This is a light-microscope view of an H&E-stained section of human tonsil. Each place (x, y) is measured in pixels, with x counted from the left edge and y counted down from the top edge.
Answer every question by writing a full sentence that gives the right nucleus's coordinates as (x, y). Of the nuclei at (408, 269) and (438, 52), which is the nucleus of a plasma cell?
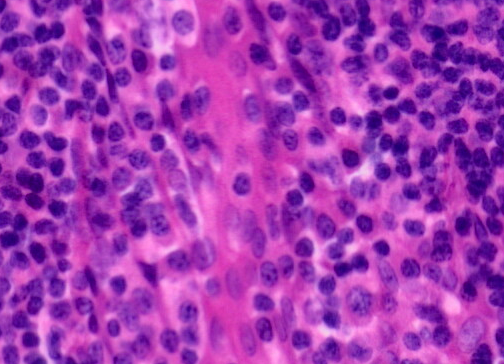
Of the two, the nucleus lying at (408, 269) is the one belonging to a plasma cell.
